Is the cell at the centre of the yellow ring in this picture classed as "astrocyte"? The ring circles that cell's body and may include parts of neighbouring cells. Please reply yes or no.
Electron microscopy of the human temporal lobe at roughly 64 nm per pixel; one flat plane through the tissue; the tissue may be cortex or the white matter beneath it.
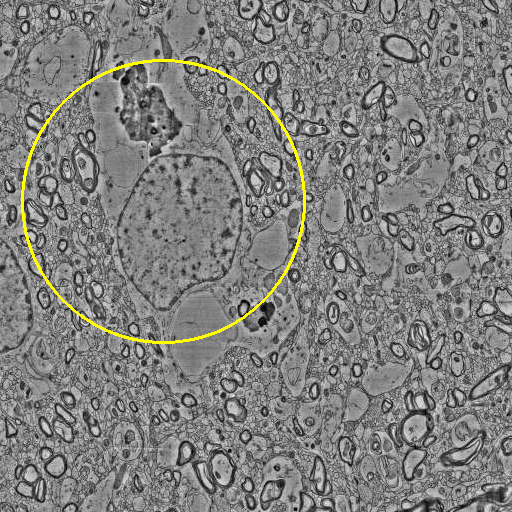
Yes, it is of that kind.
